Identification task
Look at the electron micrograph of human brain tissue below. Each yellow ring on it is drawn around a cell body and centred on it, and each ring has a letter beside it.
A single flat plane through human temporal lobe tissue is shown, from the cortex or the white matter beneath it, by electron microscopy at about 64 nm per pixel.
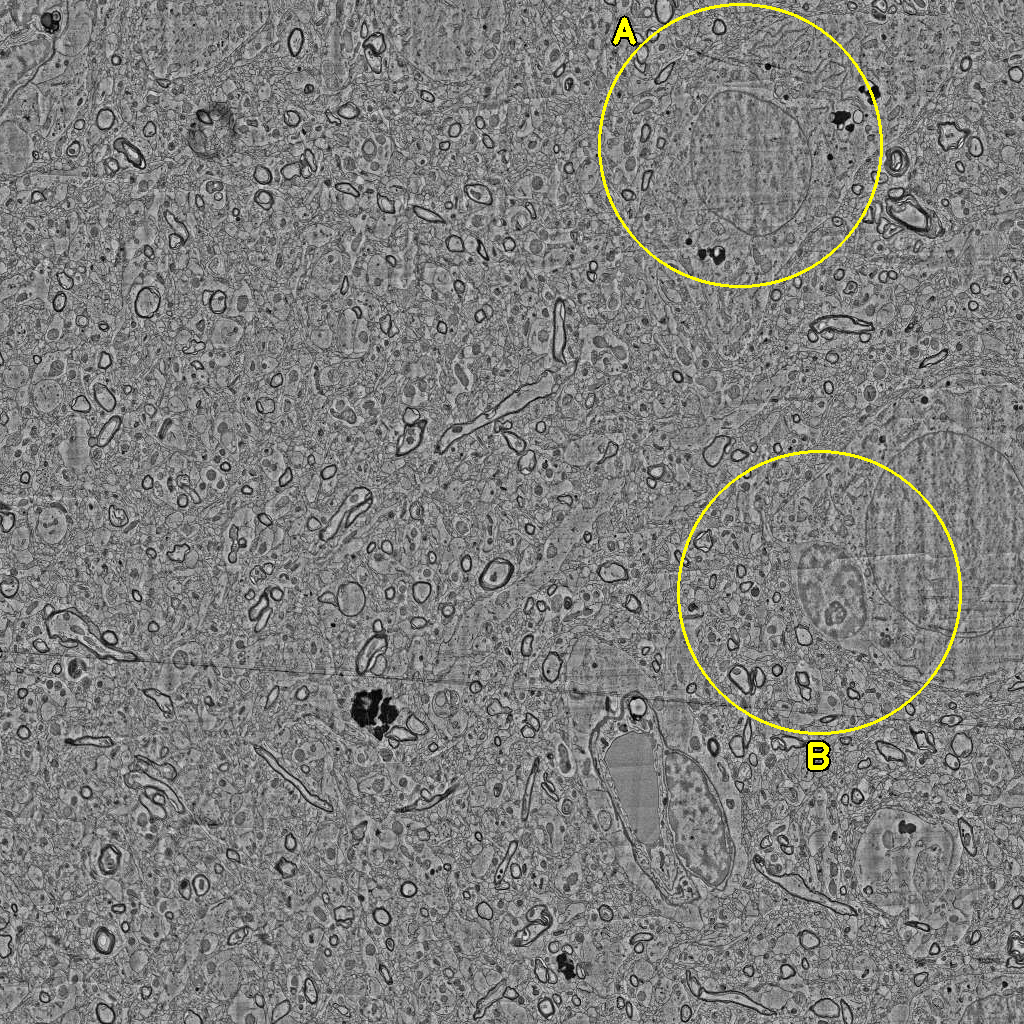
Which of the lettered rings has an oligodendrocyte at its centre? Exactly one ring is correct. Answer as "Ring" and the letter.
Ring B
